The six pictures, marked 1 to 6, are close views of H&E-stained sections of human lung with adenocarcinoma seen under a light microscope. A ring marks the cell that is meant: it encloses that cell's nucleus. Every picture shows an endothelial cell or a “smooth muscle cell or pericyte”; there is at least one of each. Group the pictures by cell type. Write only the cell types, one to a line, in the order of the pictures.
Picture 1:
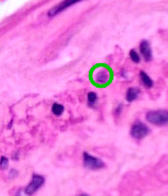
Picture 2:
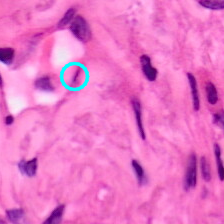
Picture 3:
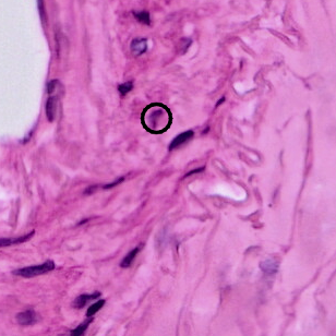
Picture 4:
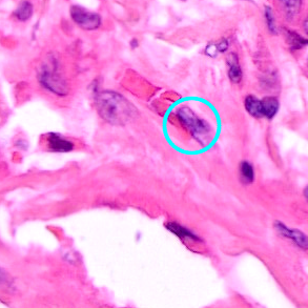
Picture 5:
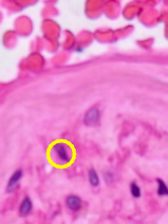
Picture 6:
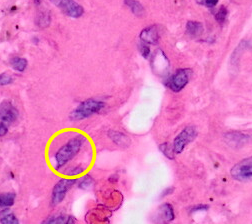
smooth muscle cell or pericyte
endothelial cell
smooth muscle cell or pericyte
endothelial cell
smooth muscle cell or pericyte
smooth muscle cell or pericyte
